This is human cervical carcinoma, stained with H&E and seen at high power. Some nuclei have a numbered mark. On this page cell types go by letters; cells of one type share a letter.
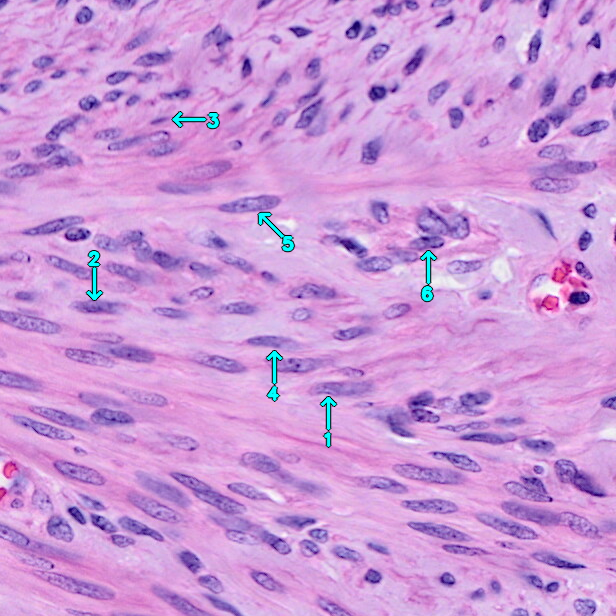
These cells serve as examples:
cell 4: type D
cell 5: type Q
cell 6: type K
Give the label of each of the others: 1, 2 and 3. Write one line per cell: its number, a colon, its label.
1: type D
2: type D
3: type D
